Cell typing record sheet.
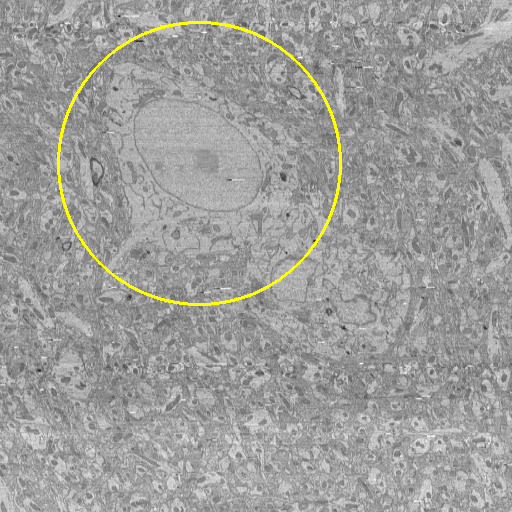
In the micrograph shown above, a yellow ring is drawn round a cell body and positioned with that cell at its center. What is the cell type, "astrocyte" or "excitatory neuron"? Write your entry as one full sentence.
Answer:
The cell body at the center of the ring belongs to an excitatory neuron.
